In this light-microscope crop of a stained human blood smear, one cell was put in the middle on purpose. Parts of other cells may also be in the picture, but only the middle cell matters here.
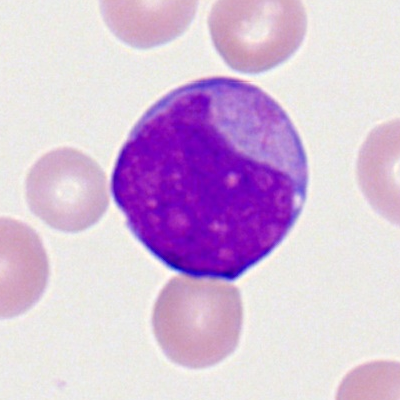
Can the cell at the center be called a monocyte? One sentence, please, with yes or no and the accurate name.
No, the centrally placed cell is a blast, not a monocyte.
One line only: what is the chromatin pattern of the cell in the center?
The chromatin is fine, with no coarse clumping anywhere.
